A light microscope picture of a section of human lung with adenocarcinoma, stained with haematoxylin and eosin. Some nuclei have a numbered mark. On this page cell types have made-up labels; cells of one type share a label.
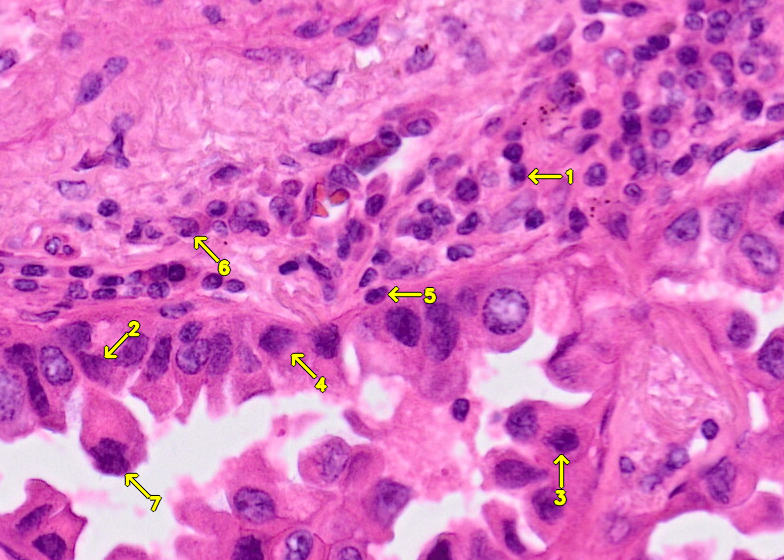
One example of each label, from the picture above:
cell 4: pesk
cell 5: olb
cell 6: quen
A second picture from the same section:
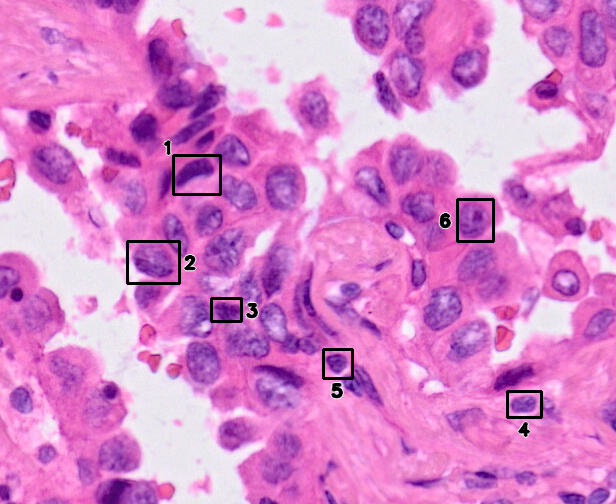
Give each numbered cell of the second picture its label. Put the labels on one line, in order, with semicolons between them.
pesk; pesk; pesk; olb; olb; pesk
